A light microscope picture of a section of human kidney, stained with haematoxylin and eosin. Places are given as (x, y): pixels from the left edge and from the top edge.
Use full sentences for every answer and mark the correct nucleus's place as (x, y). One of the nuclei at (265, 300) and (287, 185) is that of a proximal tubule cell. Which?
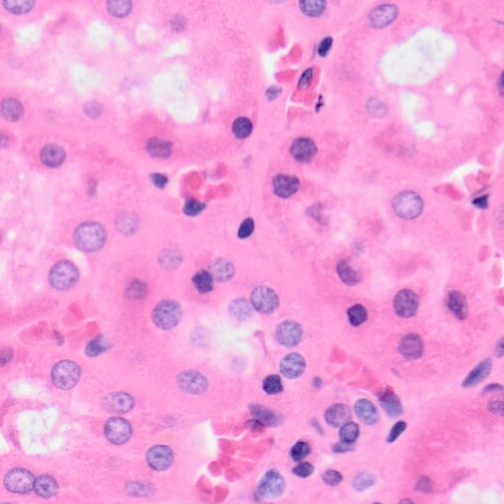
Out of the two, it is the nucleus at (287, 185) that belongs to a proximal tubule cell.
